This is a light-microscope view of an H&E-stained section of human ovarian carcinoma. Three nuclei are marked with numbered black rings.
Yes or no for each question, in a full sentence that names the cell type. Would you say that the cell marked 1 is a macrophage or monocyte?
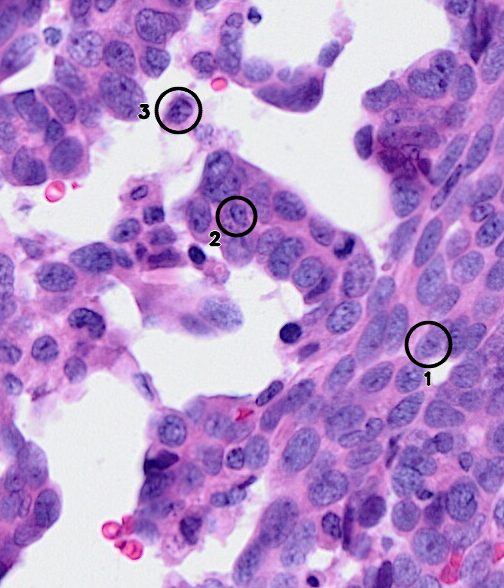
No, the cell under number 1 is a carcinoma cell, not a macrophage or monocyte.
